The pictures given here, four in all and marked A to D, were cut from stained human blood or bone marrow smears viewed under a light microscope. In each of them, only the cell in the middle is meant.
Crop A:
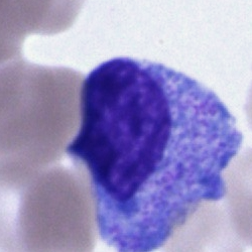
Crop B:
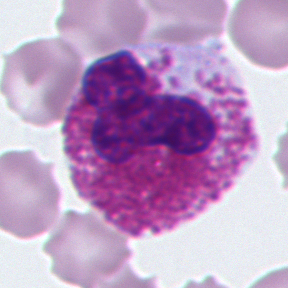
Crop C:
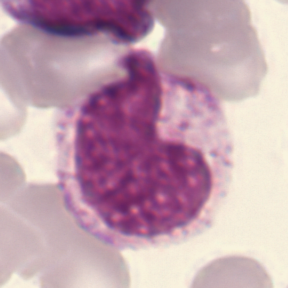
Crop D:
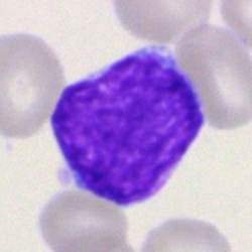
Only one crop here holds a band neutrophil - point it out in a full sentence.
Among the crops given, only crop C shows a band neutrophil.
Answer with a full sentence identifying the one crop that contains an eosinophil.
It is crop B, not any other, that shows an eosinophil.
